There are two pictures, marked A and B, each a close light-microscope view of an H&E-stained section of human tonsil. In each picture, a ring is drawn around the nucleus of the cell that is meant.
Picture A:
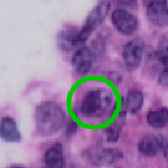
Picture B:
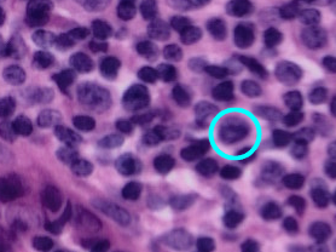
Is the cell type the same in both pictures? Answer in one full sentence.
Yes, the two pictures both show proliferating B cells.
